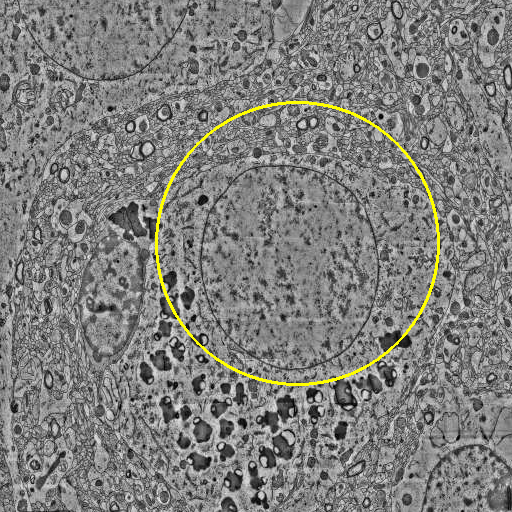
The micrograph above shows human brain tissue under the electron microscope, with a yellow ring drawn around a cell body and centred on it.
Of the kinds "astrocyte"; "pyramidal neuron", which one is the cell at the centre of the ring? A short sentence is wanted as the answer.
The one at the centre of the ring is a pyramidal neuron.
